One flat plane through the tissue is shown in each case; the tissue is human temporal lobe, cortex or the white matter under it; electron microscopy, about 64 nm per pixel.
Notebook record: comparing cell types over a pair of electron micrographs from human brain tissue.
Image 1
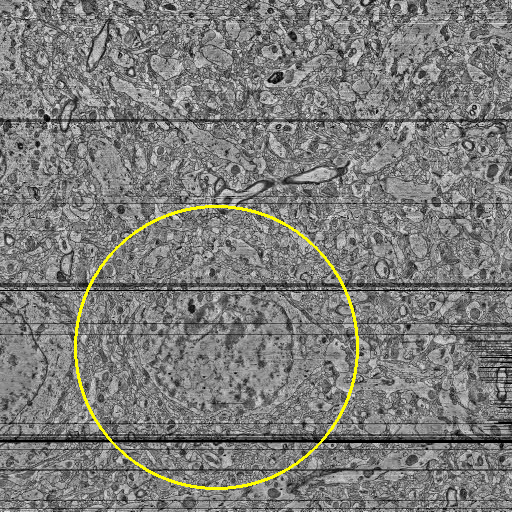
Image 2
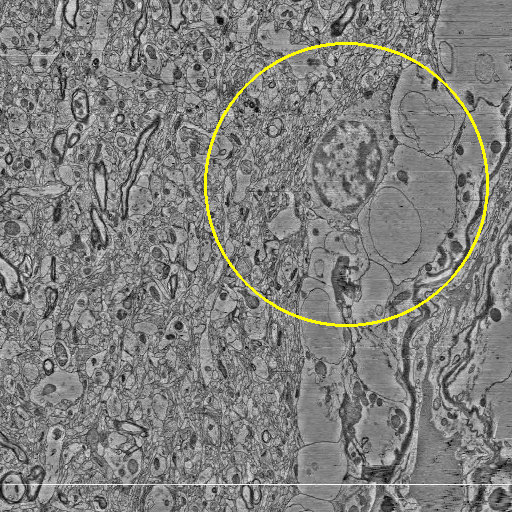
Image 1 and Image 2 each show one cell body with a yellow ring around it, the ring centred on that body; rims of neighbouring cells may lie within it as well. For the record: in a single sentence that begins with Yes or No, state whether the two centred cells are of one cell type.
No, two cell types are found among the centred cells of Image 1 and Image 2.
